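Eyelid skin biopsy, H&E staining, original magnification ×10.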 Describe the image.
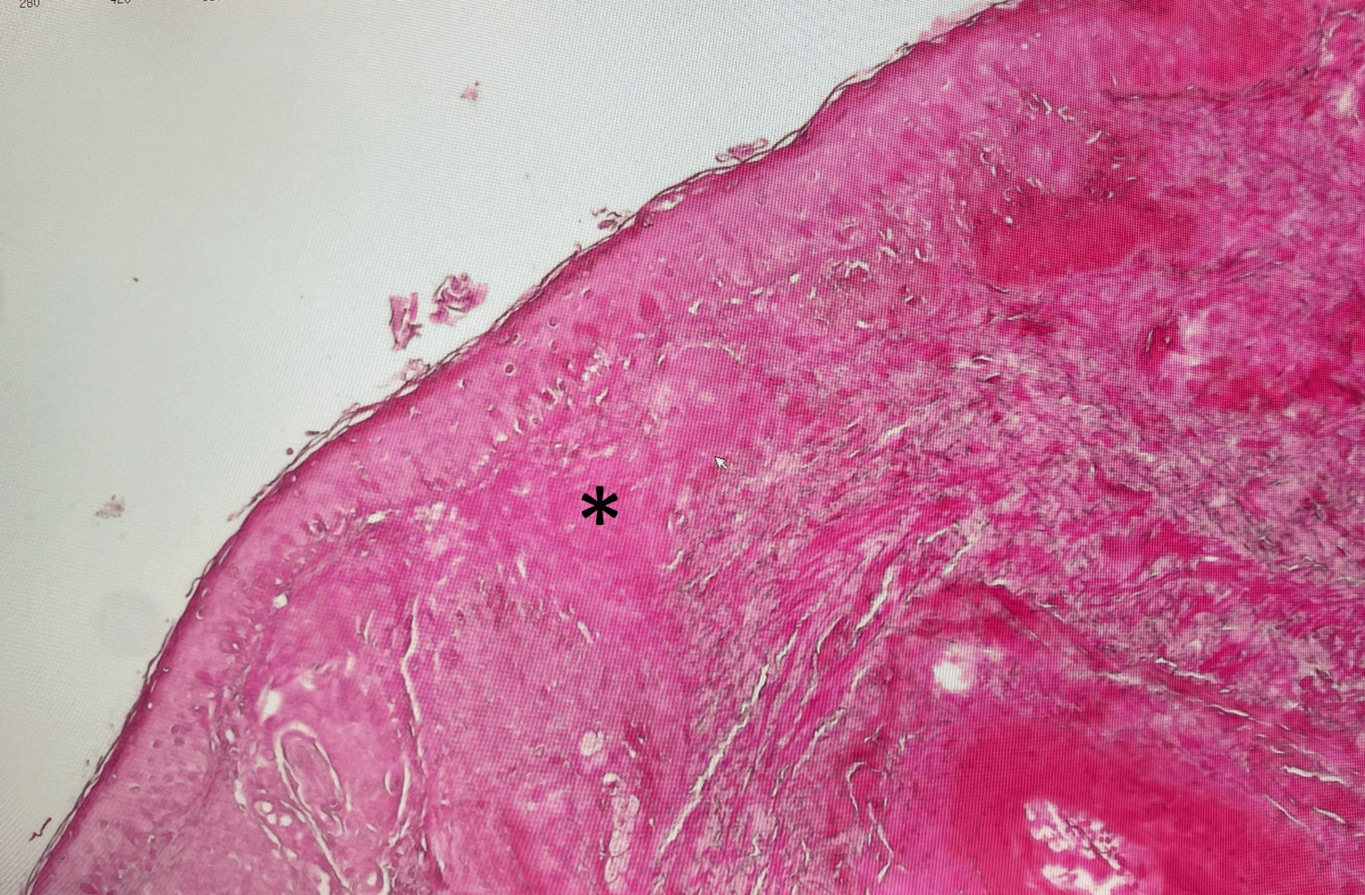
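A thin surface layer runs along the upper left edge of the tissue. Below it, the normal fibrous pattern of the dermis is largely replaced by this amorphous deposit, which stains pale to deep pink. It holds very few nuclei. Narrow slit-like clefts and small empty spaces run through the deposit, and a few small round or tubular structures, probably vessels or adnexal remnants, are trapped within it. Some zones of the deposit stain a denser, brighter pink than others.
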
